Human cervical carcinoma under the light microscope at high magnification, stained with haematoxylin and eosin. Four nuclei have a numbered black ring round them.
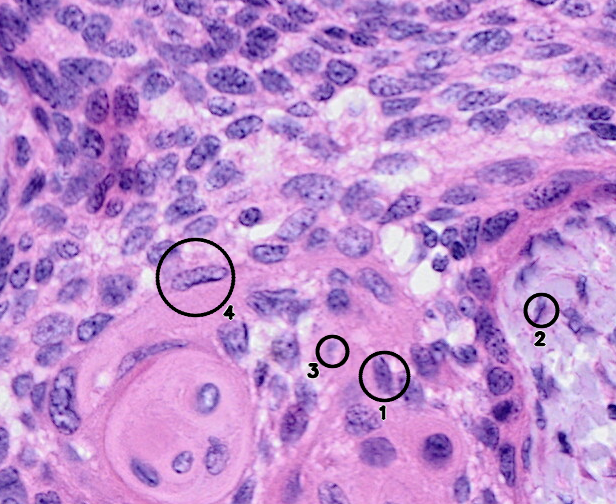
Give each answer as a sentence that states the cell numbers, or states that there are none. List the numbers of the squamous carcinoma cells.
The cells numbered 1, 3 and 4 are typed as squamous carcinoma cells.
